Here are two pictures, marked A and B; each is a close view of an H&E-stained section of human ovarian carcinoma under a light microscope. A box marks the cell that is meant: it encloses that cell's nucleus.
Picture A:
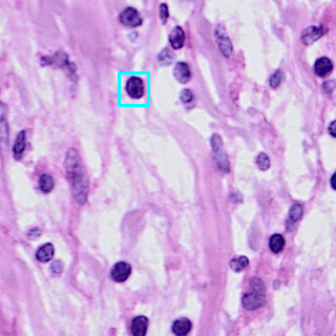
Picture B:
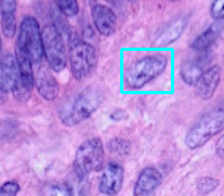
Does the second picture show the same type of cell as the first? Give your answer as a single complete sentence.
No, the types are not the same, since picture A shows a lymphocyte and picture B a fibroblast.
